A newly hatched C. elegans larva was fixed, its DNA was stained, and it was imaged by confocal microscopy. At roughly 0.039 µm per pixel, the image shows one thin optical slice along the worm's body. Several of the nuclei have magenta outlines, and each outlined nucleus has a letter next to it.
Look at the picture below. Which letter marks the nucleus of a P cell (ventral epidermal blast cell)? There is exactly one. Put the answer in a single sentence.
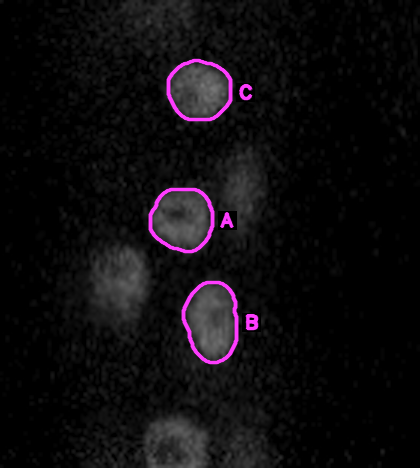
It is B that belongs to a P cell (ventral epidermal blast cell).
